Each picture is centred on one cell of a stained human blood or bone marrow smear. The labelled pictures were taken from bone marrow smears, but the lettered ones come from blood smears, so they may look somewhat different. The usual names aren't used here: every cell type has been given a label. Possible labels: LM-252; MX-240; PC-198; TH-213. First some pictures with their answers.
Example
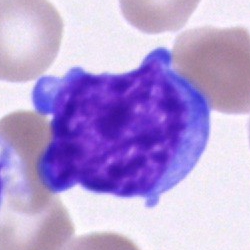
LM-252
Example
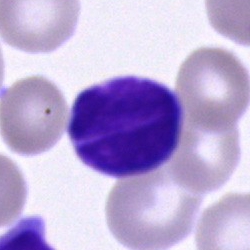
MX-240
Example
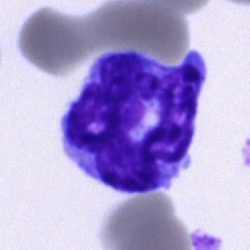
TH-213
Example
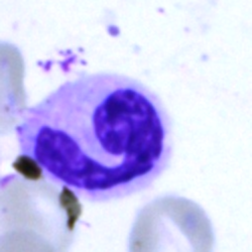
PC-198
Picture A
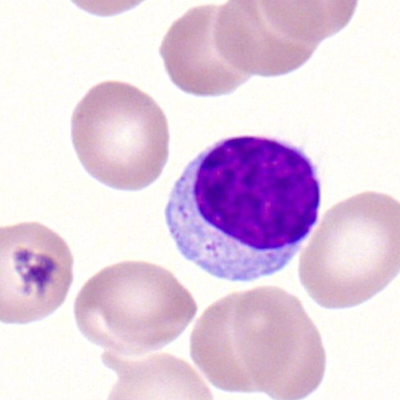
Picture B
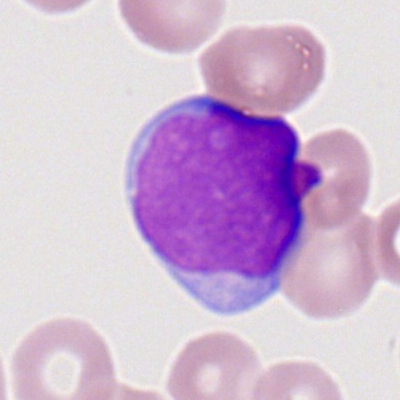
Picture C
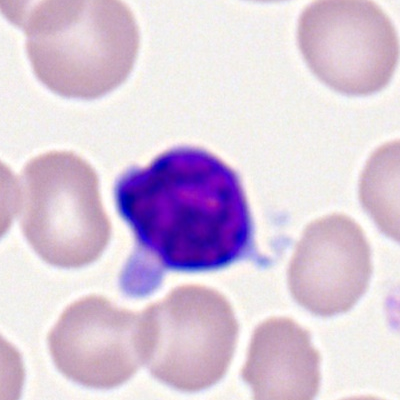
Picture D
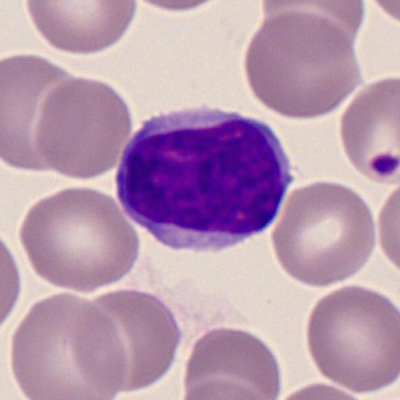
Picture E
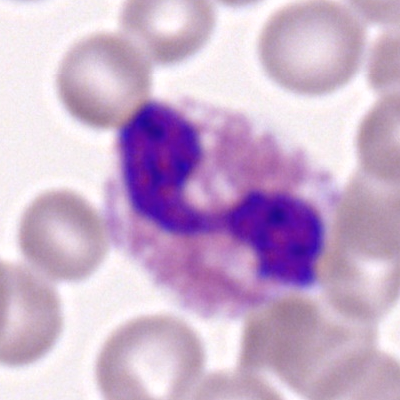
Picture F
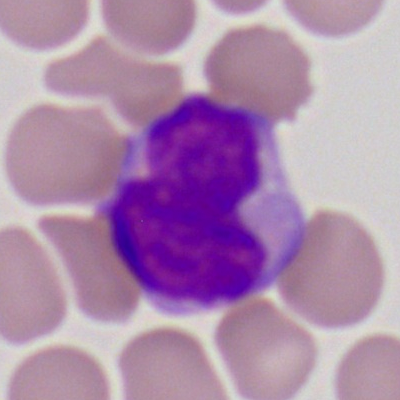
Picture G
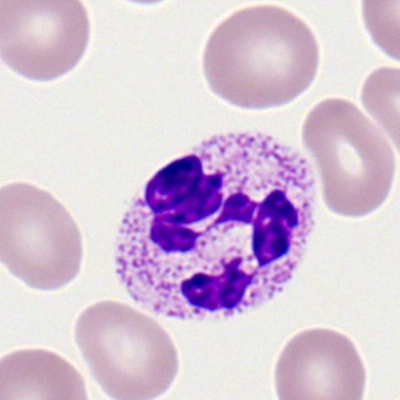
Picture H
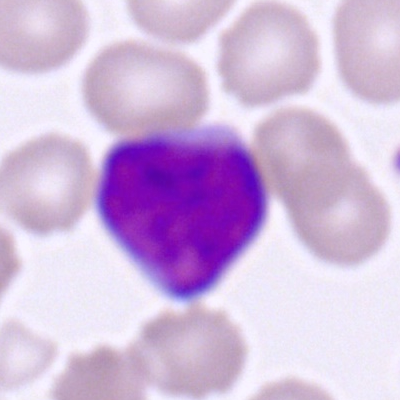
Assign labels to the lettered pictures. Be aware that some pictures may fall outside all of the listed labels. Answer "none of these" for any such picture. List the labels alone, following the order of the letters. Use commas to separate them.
MX-240, LM-252, MX-240, MX-240, none of these, LM-252, PC-198, LM-252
